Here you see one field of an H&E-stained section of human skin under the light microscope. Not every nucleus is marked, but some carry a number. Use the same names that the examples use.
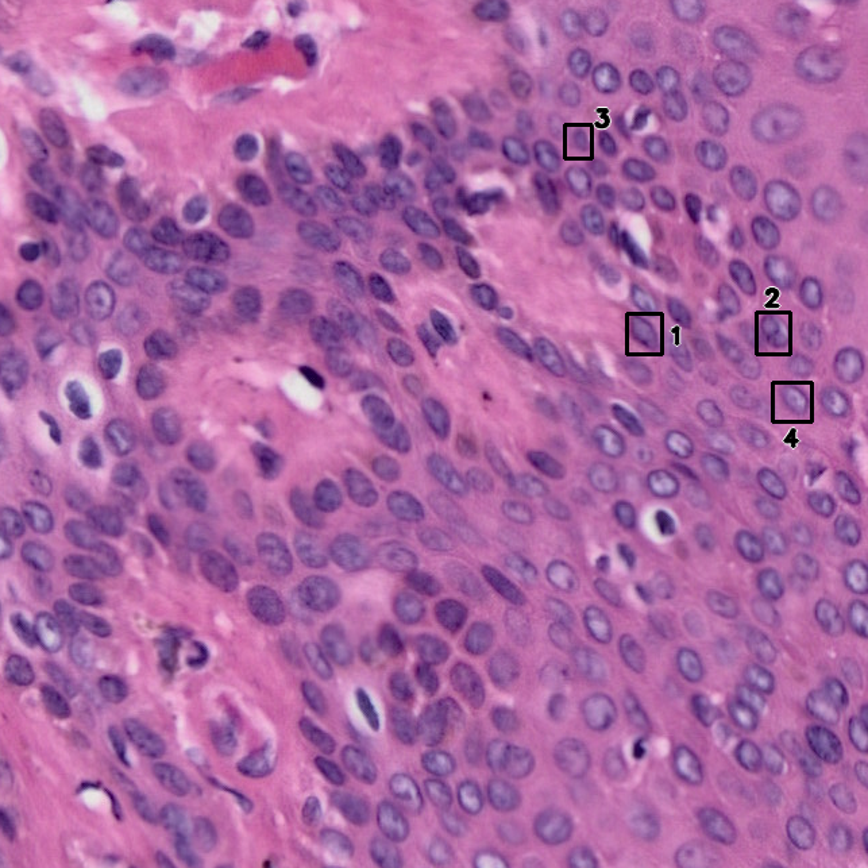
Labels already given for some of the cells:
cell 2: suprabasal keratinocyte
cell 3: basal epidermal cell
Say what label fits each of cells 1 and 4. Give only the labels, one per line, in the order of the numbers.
basal epidermal cell
suprabasal keratinocyte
